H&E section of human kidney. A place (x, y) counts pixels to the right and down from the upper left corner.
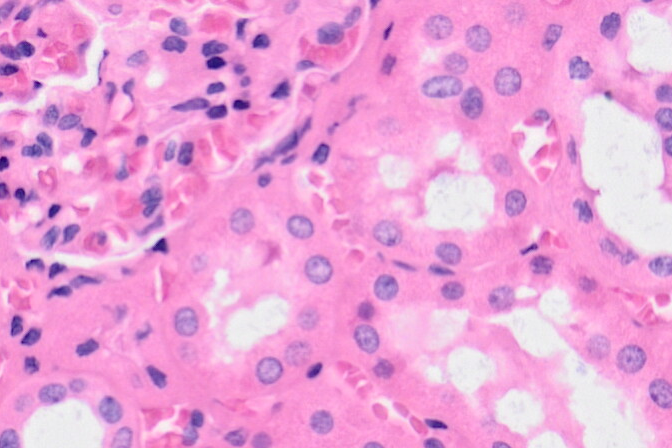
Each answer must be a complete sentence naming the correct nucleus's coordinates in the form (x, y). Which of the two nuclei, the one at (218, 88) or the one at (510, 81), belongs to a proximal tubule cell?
The nucleus that sits at (510, 81) is the nucleus of a proximal tubule cell.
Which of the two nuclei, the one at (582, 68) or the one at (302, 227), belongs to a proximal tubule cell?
Among the two, the nucleus at (302, 227) is the nucleus of a proximal tubule cell.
